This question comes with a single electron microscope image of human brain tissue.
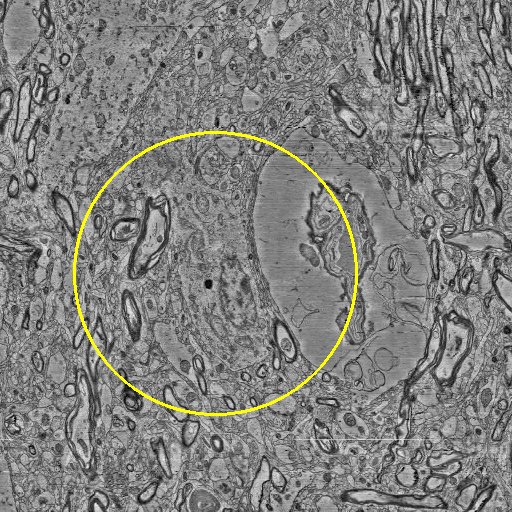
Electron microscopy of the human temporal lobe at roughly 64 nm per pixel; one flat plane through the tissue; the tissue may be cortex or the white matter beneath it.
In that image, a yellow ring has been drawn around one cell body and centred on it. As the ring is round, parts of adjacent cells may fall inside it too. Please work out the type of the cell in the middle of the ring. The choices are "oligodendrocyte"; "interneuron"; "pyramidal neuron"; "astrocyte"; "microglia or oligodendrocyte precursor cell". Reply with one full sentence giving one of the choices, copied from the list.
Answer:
Of the choices, an interneuron is the cell sitting in the middle of the ring.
